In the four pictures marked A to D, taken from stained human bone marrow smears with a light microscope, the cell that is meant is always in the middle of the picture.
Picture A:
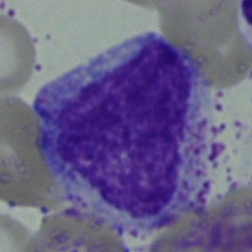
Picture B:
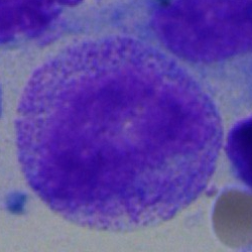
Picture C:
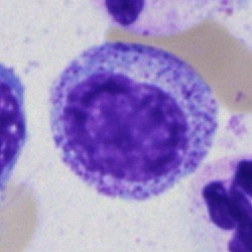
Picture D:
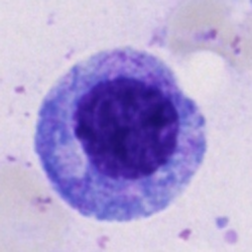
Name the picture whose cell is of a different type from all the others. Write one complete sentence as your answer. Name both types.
All pictures except D show myelocytes; picture D shows a promyelocyte.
